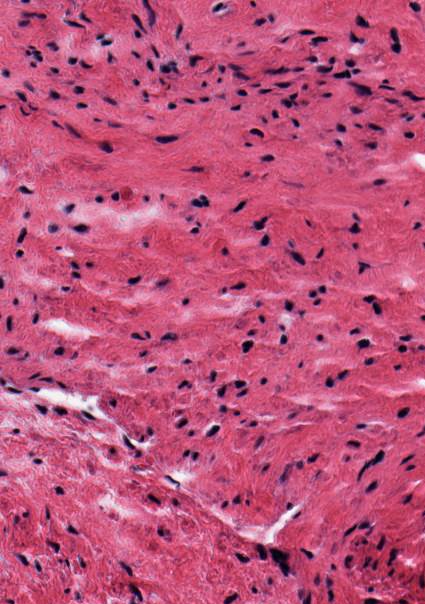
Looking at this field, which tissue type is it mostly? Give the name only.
dense connective tissue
